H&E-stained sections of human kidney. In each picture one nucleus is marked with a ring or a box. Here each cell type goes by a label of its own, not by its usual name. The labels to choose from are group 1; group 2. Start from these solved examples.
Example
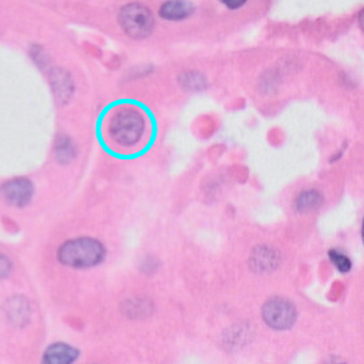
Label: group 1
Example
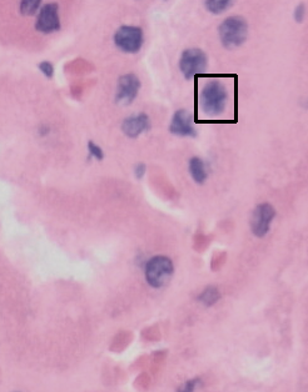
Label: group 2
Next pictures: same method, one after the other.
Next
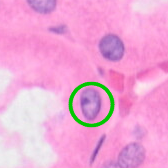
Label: group 1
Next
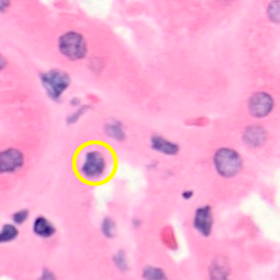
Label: group 2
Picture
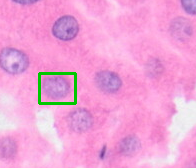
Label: group 1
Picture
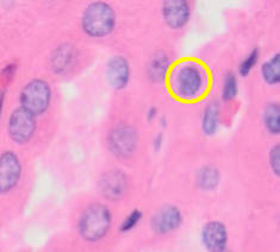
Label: group 2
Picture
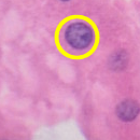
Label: group 1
